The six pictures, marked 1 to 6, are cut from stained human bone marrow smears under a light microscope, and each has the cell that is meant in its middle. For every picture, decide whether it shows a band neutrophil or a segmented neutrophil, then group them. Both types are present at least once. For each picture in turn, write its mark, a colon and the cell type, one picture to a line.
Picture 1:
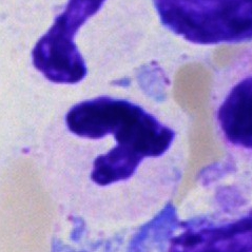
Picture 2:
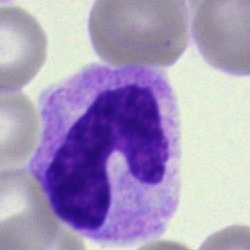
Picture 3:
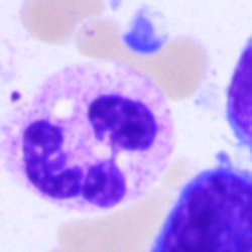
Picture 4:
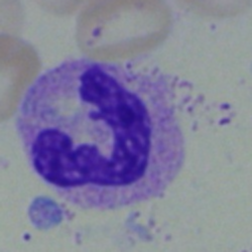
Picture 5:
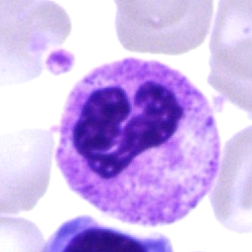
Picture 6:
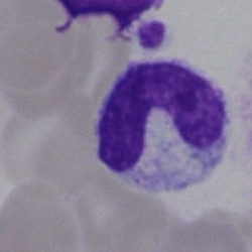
1: segmented neutrophil
2: band neutrophil
3: segmented neutrophil
4: segmented neutrophil
5: segmented neutrophil
6: band neutrophil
